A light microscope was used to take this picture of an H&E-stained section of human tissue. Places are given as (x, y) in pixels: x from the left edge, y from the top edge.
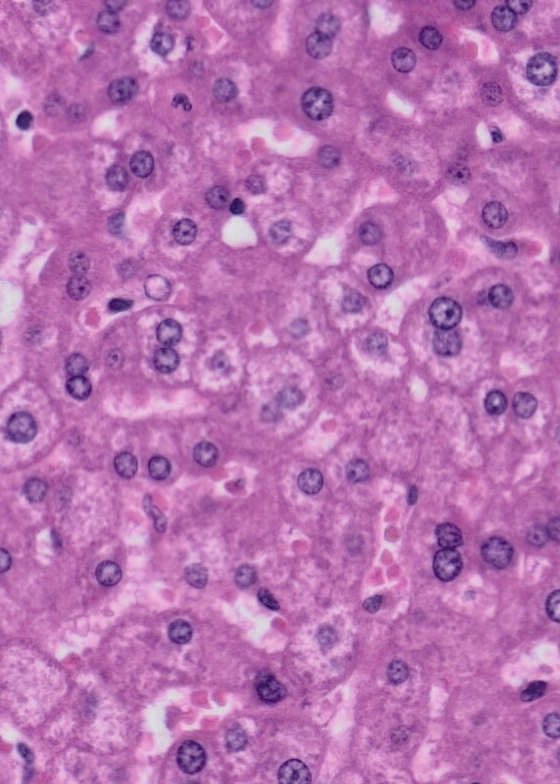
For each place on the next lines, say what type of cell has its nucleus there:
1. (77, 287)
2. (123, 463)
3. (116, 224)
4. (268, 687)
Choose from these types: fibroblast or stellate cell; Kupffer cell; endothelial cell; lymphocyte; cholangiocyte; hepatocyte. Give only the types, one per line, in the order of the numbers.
hepatocyte
hepatocyte
endothelial cell
hepatocyte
